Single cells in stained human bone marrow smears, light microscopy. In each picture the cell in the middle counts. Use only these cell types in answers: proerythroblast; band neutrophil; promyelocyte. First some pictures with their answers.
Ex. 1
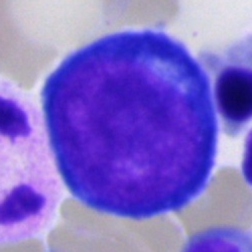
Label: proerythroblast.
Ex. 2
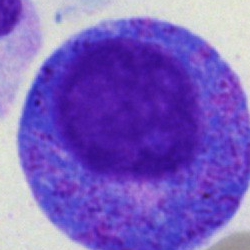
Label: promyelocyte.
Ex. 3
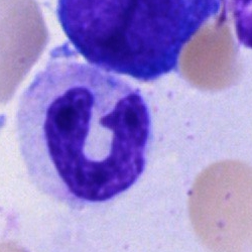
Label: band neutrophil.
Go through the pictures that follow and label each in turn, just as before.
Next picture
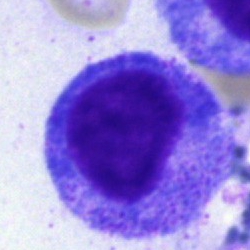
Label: promyelocyte.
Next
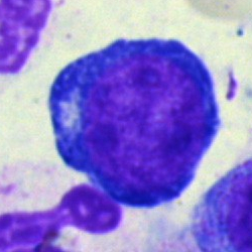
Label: proerythroblast.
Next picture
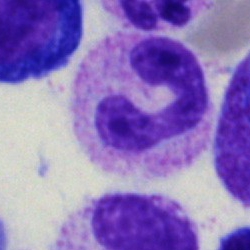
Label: band neutrophil.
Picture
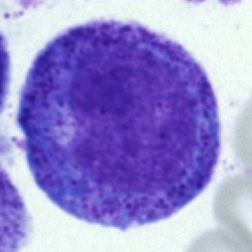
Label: promyelocyte.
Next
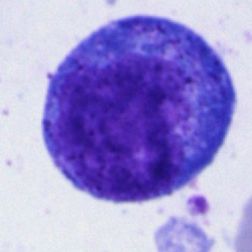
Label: promyelocyte.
